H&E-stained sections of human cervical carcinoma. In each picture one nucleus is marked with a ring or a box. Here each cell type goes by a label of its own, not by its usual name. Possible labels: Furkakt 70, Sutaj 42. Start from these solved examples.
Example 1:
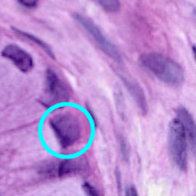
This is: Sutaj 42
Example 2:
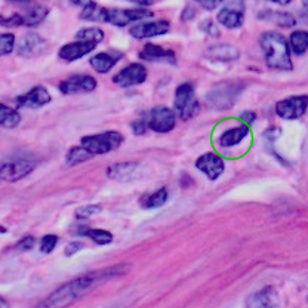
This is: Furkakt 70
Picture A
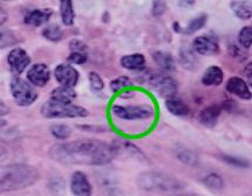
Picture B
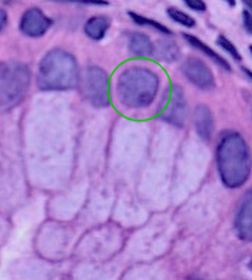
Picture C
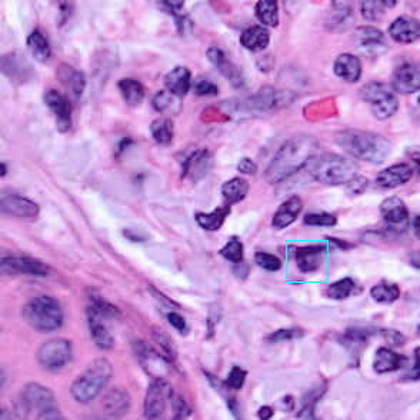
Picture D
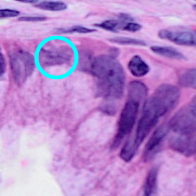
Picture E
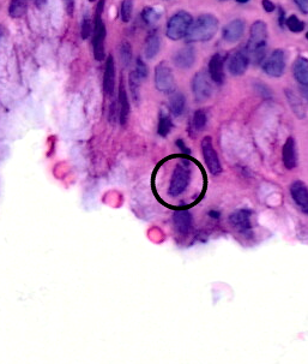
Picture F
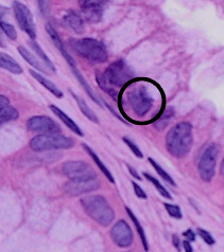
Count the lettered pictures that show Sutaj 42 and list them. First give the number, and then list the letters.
Count: 4 (B, D, E, F)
